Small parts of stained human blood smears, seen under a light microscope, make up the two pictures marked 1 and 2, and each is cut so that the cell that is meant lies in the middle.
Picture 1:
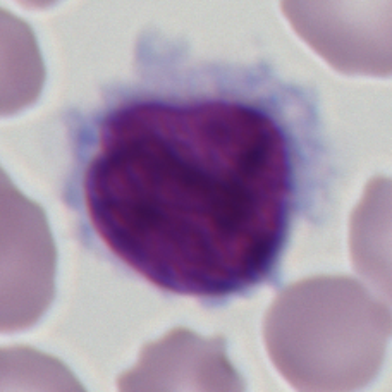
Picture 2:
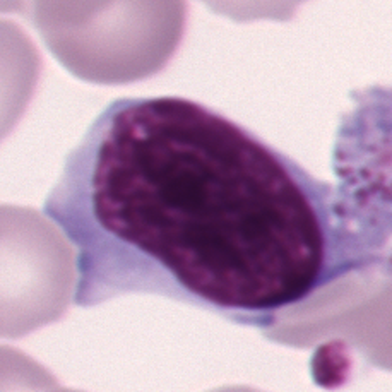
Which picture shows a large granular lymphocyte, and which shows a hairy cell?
1: hairy cell
2: large granular lymphocyte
